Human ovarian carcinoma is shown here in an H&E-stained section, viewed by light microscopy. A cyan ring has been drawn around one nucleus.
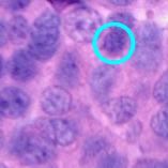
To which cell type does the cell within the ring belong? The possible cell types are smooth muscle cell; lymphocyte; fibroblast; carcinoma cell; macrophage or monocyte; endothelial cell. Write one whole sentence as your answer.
The identity of the cell within the ring: it is a carcinoma cell.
